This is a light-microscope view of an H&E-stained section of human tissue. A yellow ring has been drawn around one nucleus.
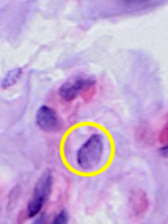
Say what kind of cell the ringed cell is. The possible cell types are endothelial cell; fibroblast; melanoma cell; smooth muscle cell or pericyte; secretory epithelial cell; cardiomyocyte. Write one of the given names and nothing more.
fibroblast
